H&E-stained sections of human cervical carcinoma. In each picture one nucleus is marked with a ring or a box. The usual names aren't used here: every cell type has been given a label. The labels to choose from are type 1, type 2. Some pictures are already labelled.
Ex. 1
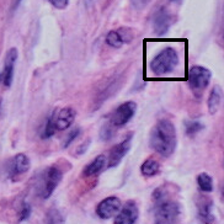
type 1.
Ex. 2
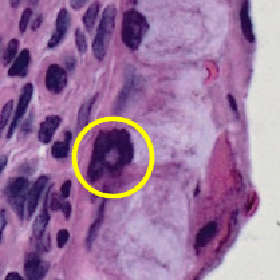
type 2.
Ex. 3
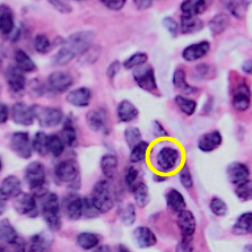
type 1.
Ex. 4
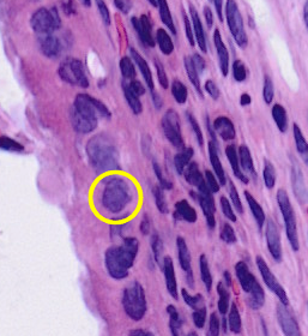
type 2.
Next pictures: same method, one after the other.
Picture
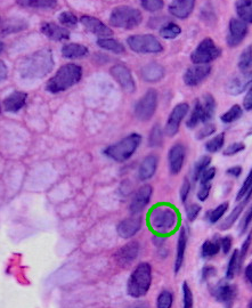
type 2.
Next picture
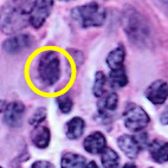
type 1.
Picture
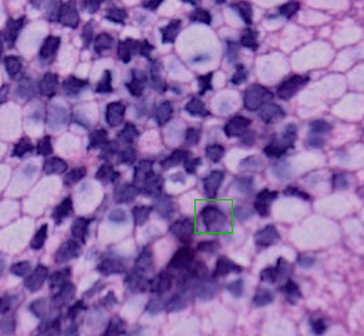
type 2.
